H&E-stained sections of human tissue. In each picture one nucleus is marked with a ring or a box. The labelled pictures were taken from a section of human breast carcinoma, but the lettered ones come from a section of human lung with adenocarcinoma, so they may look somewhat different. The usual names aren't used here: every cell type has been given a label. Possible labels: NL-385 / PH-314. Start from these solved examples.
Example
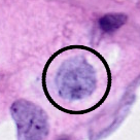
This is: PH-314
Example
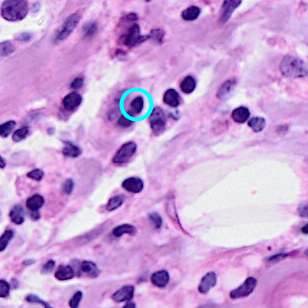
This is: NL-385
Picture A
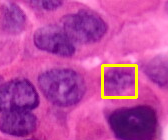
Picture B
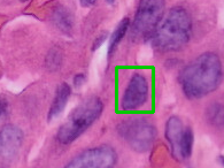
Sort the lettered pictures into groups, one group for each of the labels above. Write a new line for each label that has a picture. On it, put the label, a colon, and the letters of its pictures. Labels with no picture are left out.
PH-314: A, B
